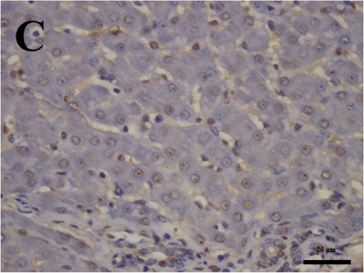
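Liver parenchyma of polygonal hepatocytes with round central nuclei and distinct nucleoli, arranged in cords. Pale sinusoidal spaces between the cords appear widened in places. A cluster of small dark elongated nuclei lies at the lower edge among the cords.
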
